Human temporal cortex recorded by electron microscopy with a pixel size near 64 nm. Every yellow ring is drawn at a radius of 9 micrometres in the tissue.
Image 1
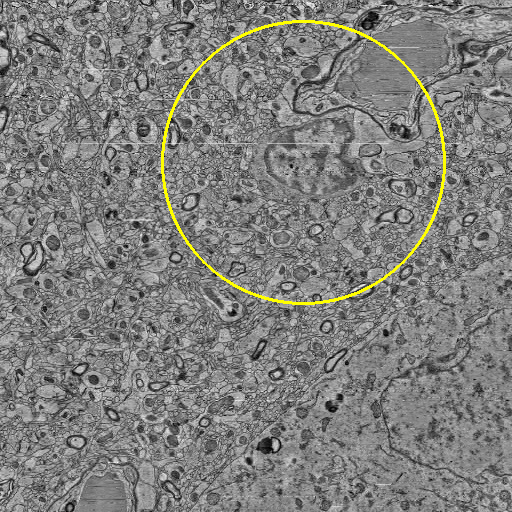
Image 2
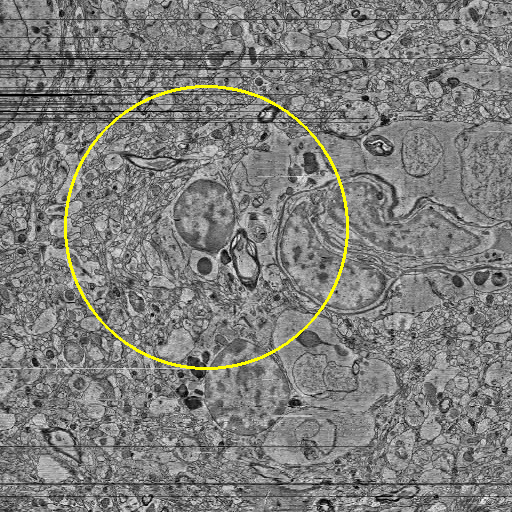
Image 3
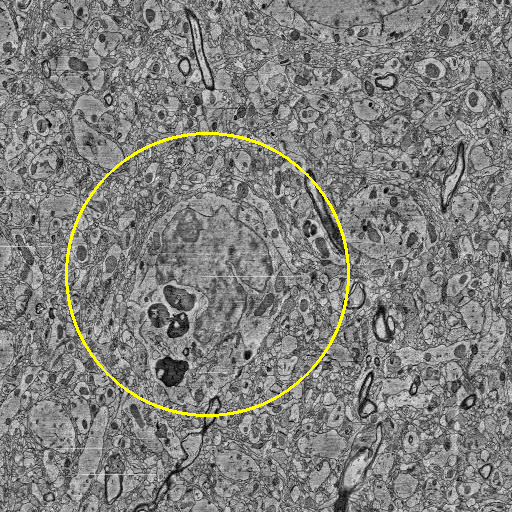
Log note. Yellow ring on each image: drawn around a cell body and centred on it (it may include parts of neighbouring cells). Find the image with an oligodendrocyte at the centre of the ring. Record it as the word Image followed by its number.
Image 1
